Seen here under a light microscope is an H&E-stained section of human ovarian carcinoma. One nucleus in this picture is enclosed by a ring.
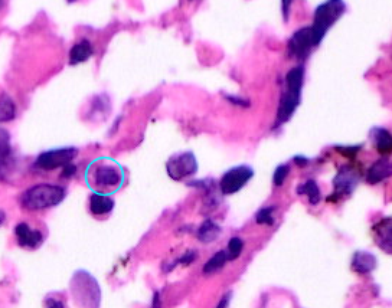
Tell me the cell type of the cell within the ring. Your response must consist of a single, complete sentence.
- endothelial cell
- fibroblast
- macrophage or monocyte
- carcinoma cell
Students should answer that the cell within the ring is a macrophage or monocyte.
